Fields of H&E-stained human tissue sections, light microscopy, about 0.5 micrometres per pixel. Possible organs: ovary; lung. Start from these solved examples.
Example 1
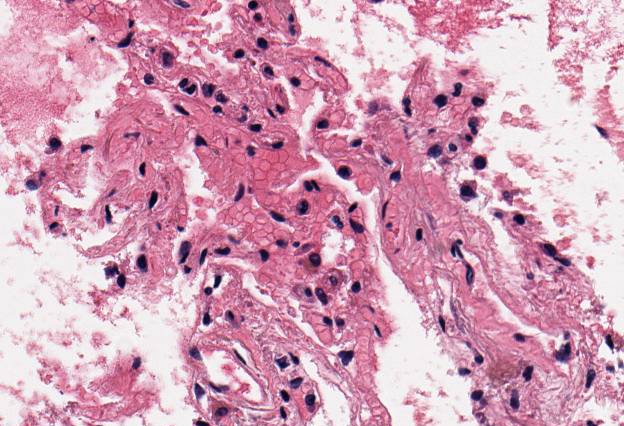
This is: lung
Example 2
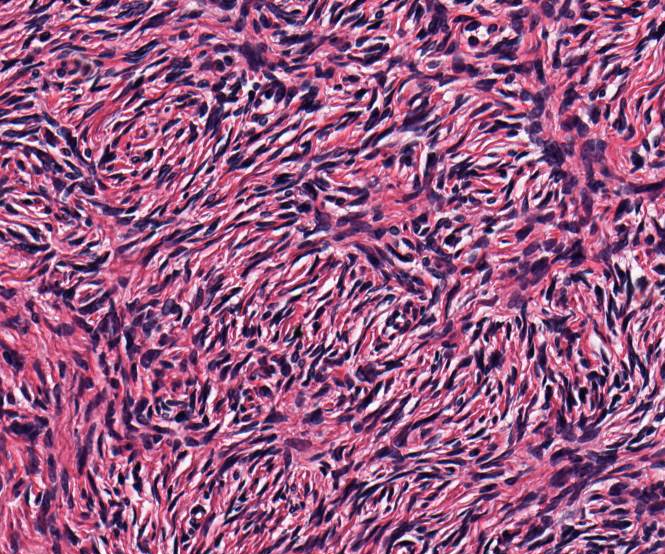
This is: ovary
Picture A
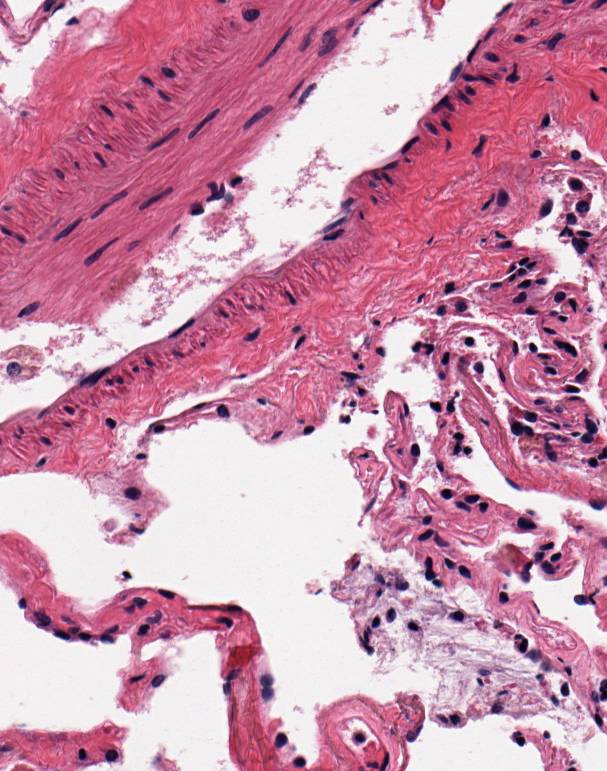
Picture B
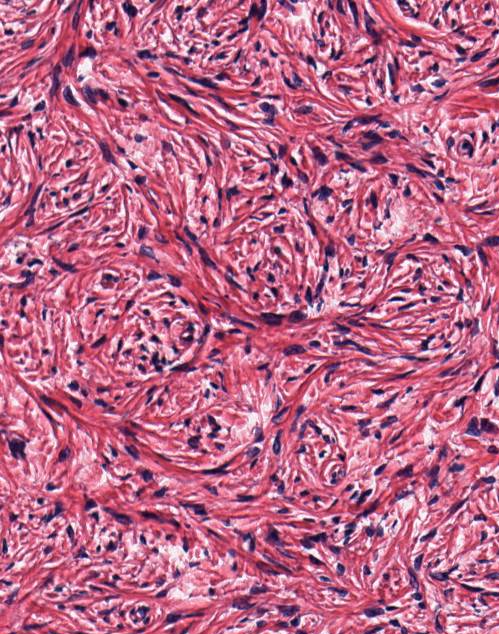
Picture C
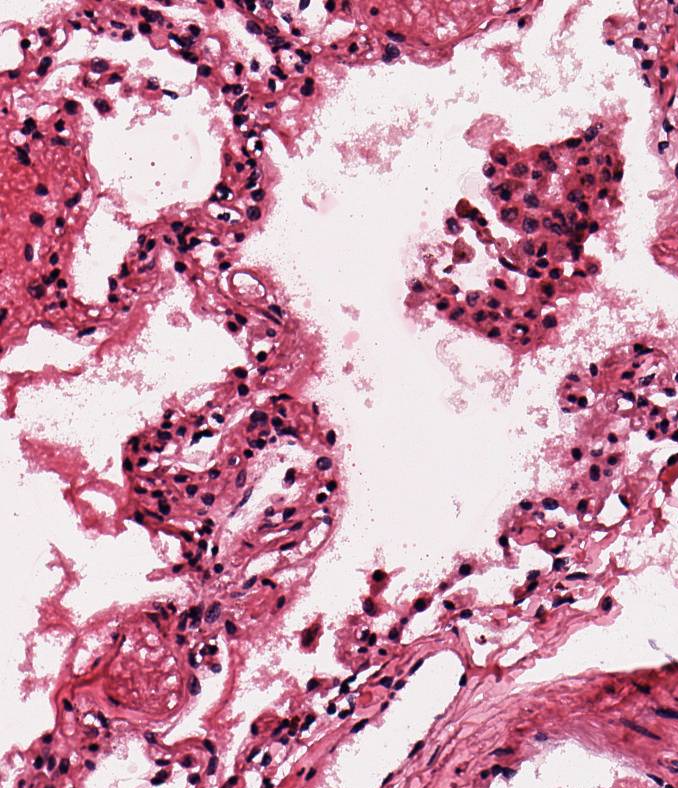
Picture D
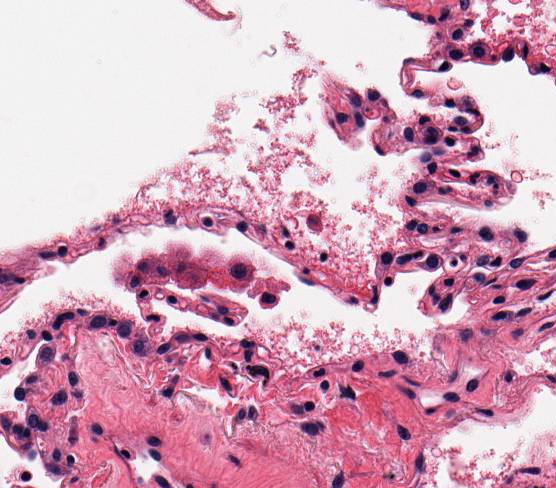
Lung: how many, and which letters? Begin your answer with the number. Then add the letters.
Count: 3 (A, C, D)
